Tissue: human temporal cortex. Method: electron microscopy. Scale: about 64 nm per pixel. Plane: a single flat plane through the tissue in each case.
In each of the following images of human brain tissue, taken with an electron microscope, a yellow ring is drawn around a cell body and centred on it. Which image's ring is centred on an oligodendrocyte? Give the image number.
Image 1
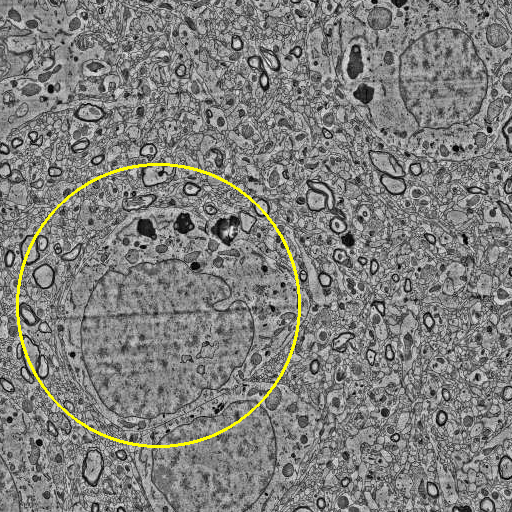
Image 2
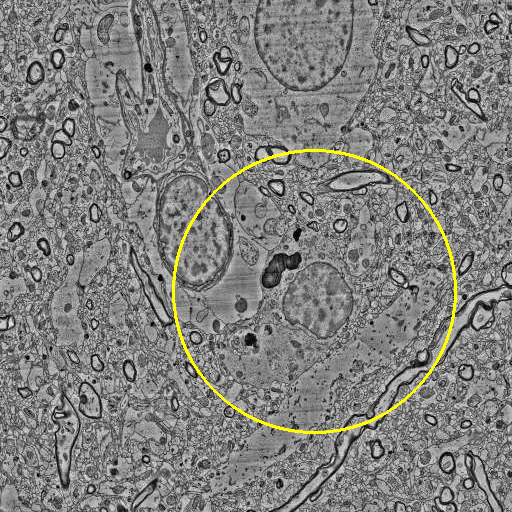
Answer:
2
